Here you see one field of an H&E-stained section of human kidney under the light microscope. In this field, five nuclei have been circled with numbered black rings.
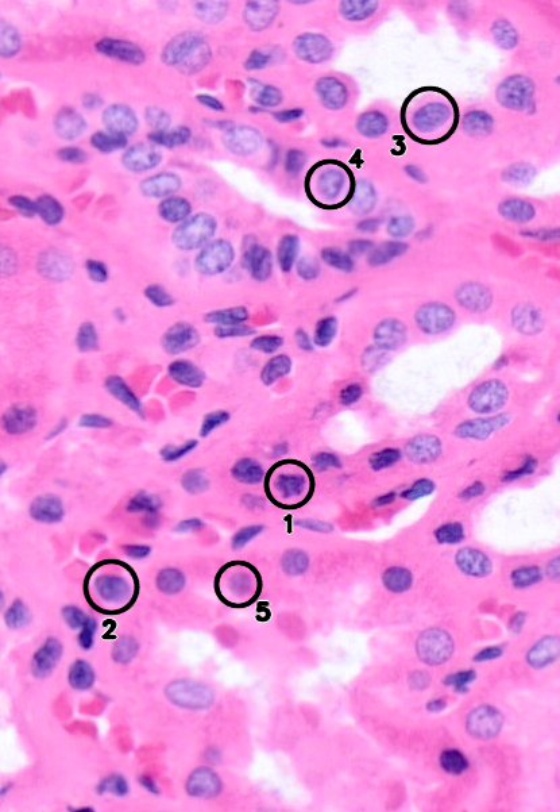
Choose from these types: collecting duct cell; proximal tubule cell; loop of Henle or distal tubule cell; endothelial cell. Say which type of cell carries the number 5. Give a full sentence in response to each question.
The cell identified by number 5 is a proximal tubule cell.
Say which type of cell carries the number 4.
Regarding cell 4, this one is a collecting duct cell.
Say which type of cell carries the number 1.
The cell numbered 1 has been identified as a loop of Henle or distal tubule cell.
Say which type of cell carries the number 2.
Cell 2 should be recorded as an endothelial cell.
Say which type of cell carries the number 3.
The cell referred to as 3 is a loop of Henle or distal tubule cell.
